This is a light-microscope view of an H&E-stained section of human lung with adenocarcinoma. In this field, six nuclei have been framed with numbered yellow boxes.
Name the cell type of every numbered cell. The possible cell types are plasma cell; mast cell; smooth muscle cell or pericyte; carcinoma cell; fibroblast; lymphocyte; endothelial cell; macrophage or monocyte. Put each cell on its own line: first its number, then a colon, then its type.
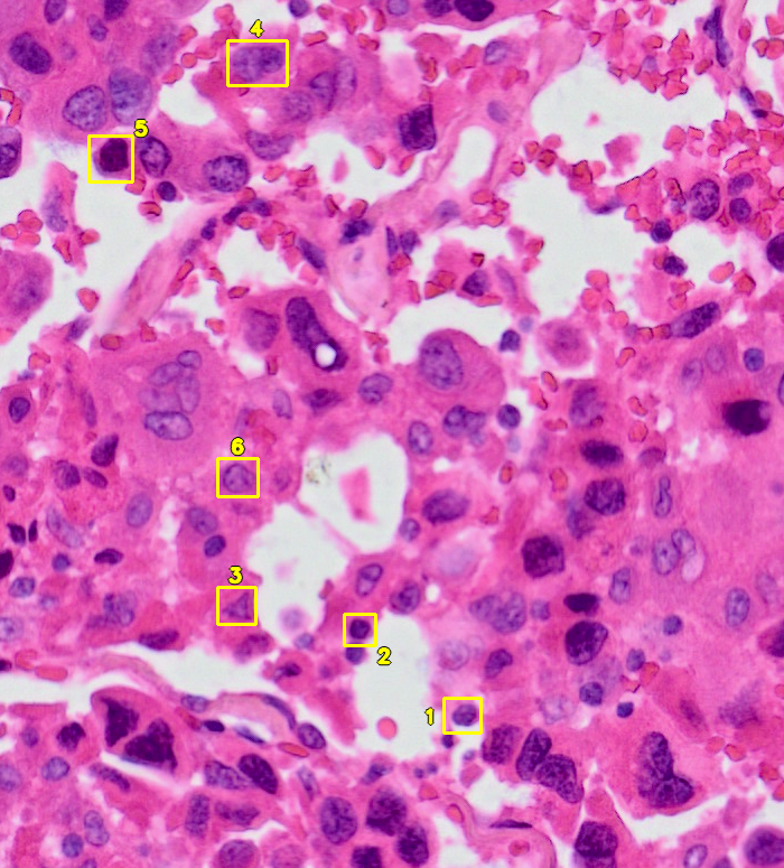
1: lymphocyte
2: lymphocyte
3: macrophage or monocyte
4: carcinoma cell
5: carcinoma cell
6: macrophage or monocyte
